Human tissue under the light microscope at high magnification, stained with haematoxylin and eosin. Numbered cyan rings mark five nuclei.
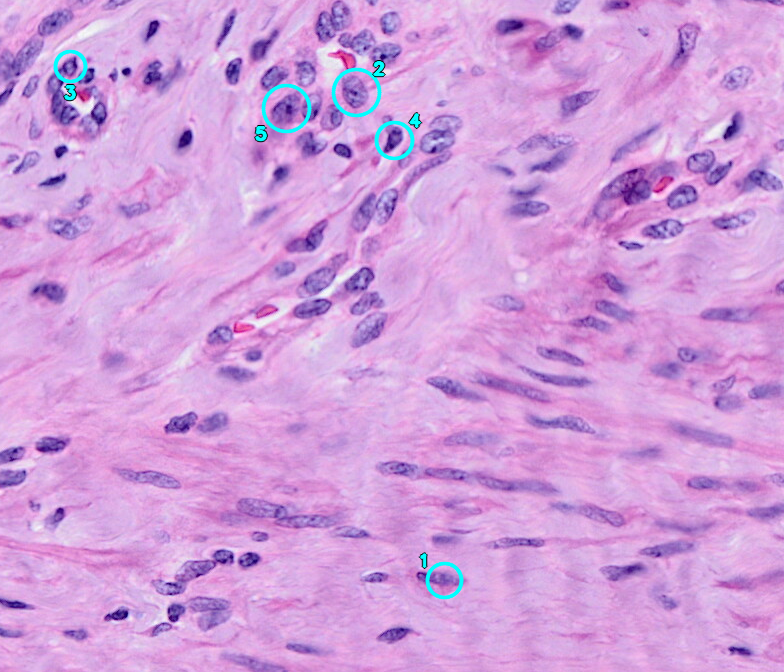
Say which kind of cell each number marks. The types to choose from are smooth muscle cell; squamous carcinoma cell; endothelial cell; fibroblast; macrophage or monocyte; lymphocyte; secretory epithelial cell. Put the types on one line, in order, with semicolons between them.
smooth muscle cell; endothelial cell; endothelial cell; lymphocyte; endothelial cell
